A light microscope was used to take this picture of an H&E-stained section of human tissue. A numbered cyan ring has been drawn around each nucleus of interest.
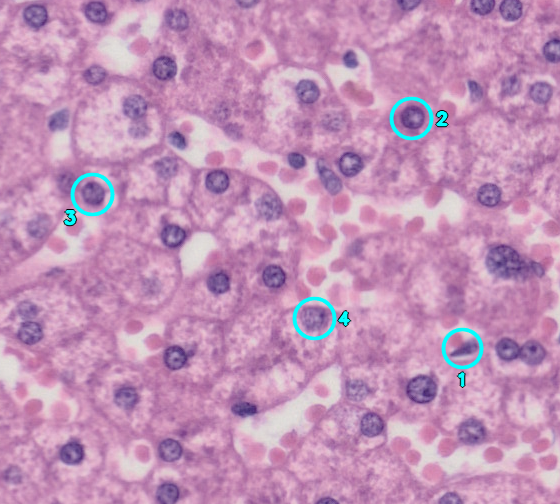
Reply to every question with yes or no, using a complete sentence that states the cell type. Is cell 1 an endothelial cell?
Yes, the cell indicated by number 1 is an endothelial cell.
